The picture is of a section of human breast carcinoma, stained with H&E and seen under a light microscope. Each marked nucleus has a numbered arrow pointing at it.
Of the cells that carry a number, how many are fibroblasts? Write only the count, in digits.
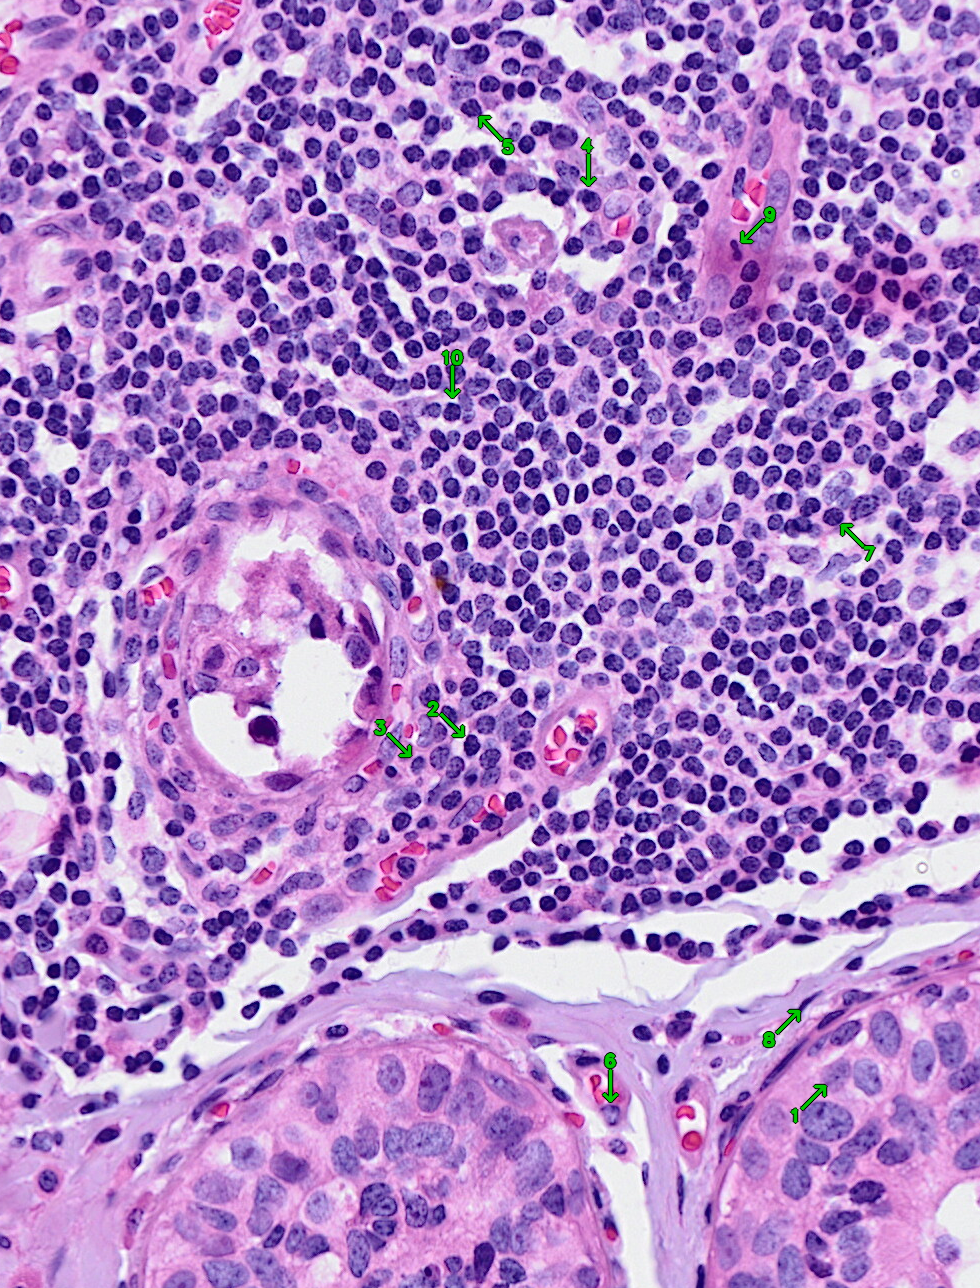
1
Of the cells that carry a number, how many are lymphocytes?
6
